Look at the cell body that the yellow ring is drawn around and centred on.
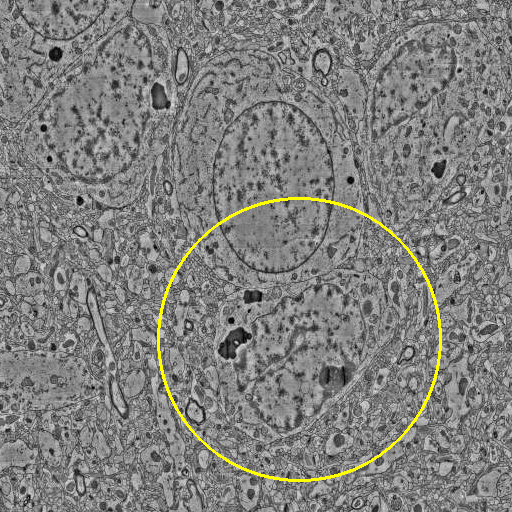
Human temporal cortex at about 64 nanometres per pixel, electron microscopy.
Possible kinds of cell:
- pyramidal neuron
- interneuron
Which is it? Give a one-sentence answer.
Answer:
The centred cell body is that of an interneuron.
